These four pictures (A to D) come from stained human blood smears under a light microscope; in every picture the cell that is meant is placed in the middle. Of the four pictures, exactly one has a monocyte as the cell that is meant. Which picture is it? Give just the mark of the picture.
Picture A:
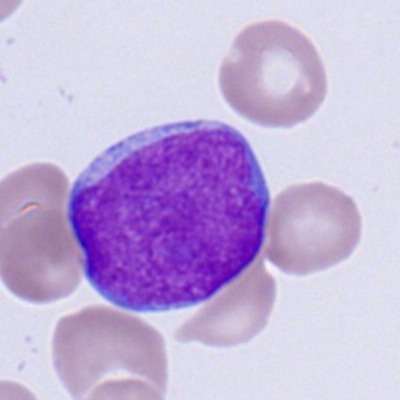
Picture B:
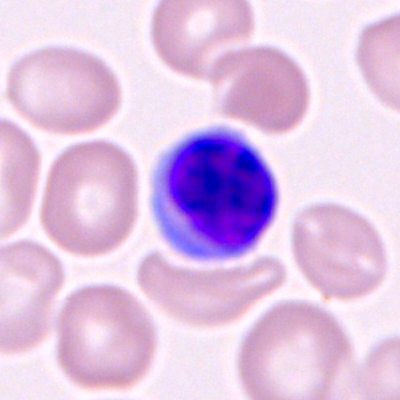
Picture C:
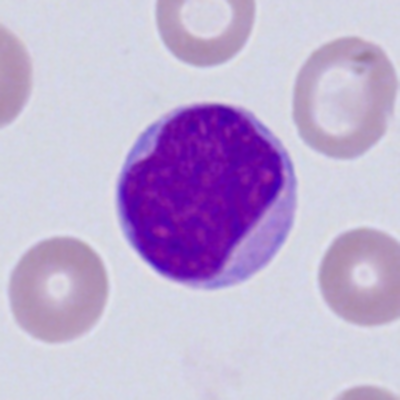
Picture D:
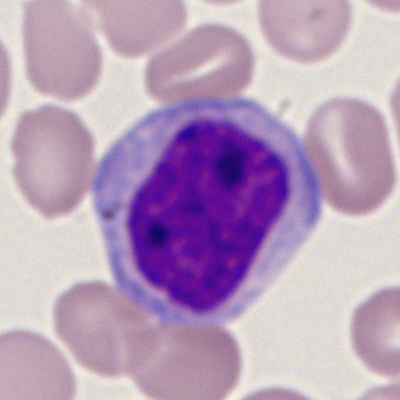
D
